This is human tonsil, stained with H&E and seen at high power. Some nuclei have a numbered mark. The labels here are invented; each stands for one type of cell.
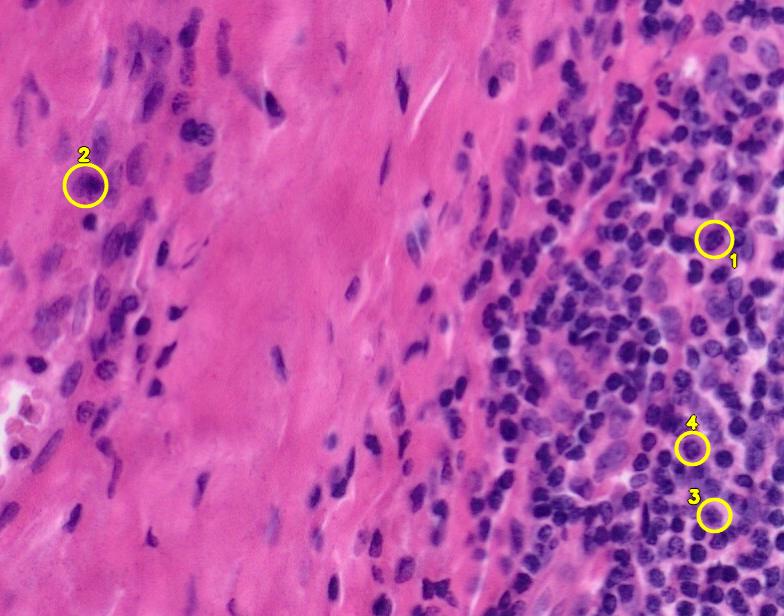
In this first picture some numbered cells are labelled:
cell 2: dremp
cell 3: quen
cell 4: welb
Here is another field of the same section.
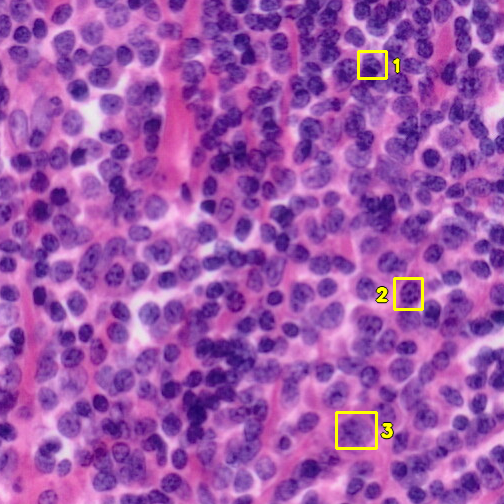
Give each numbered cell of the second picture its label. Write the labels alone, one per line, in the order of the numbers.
quen
welb
dremp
